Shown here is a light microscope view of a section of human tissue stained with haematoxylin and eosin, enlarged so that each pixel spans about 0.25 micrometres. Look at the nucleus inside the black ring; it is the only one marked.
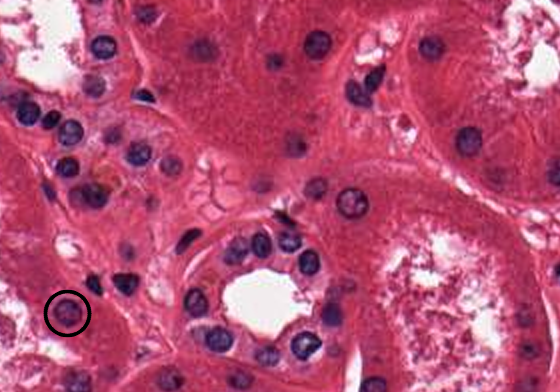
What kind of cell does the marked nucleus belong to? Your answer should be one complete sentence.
Singled out by the mark is the nucleus of a proximal tubule cell.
